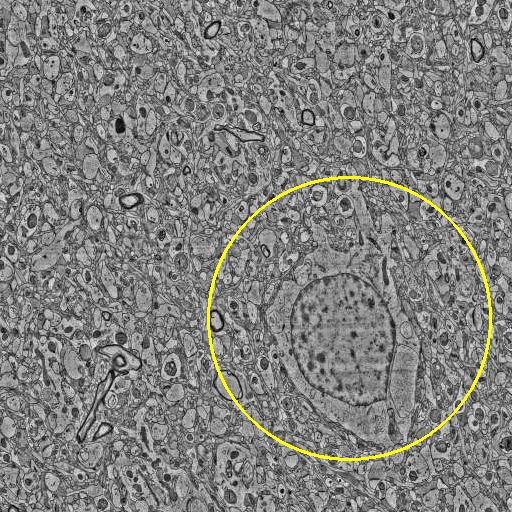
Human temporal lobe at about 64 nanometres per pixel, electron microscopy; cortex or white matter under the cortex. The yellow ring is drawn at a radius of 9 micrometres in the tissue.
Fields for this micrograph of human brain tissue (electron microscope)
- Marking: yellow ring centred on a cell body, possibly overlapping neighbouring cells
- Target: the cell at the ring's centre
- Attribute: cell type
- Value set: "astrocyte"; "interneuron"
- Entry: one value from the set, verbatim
astrocyte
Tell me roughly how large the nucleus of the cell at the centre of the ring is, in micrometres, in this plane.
The nucleus appears roughly 9 by 7 micrometres in this plane.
